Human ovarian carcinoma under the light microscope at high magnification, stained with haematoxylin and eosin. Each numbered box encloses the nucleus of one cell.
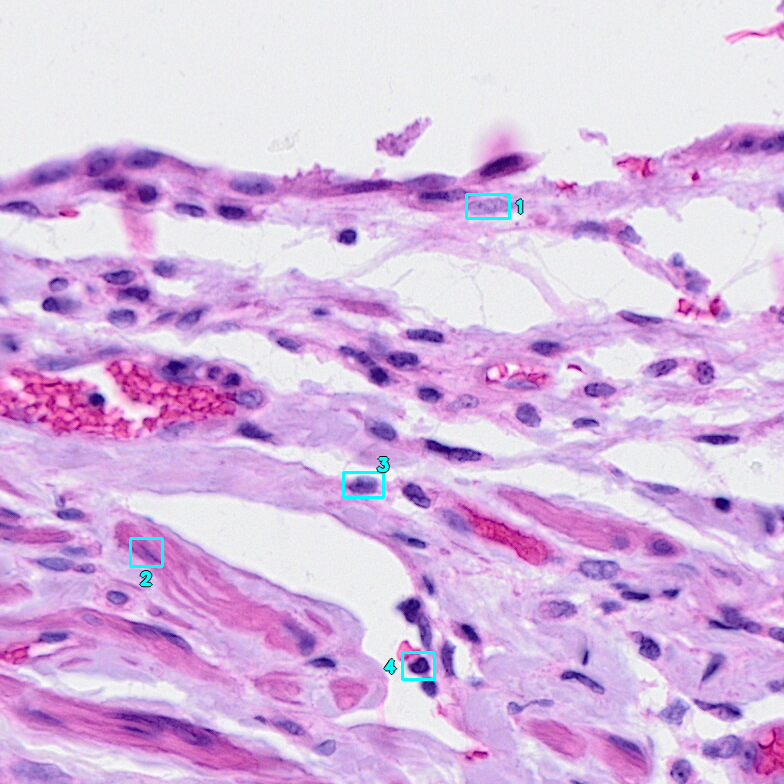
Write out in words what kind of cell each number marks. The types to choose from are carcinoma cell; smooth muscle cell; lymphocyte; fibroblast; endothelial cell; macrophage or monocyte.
Cell 1 is a fibroblast. Cell 2 is a smooth muscle cell. Cell 3 is a macrophage or monocyte. Cell 4 is a lymphocyte.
